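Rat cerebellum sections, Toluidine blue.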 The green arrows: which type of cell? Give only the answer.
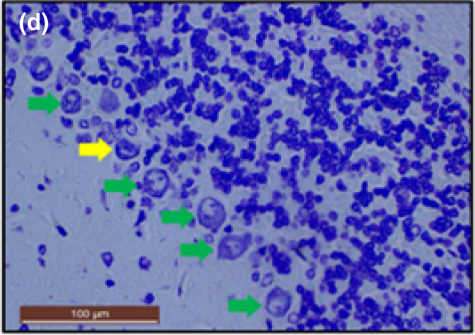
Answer: Purkinje cell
